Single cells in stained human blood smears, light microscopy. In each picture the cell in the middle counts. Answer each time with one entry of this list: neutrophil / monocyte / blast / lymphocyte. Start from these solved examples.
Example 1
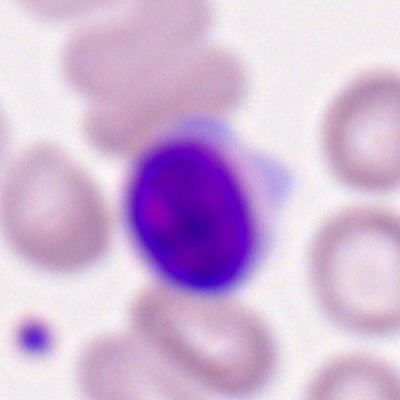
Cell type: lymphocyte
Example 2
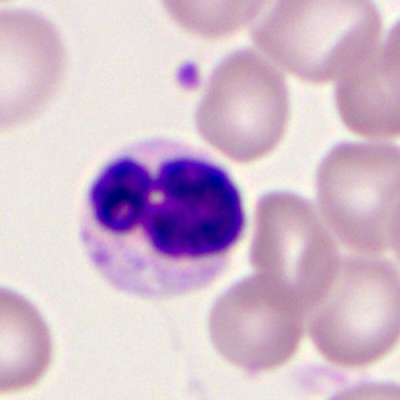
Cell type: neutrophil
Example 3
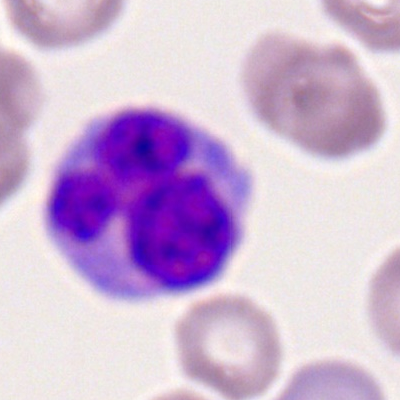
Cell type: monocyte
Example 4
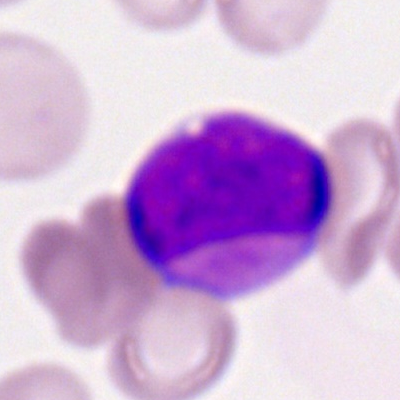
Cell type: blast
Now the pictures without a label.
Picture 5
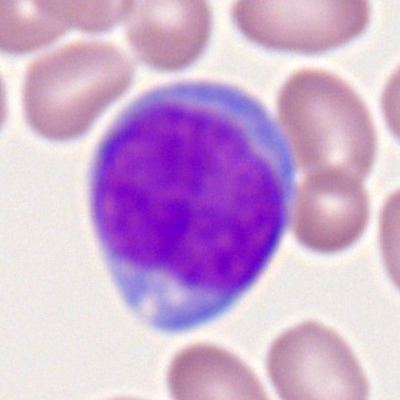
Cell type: blast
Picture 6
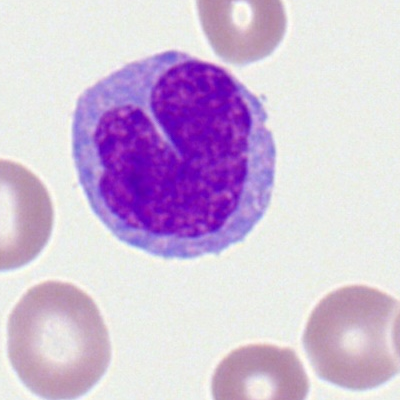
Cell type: monocyte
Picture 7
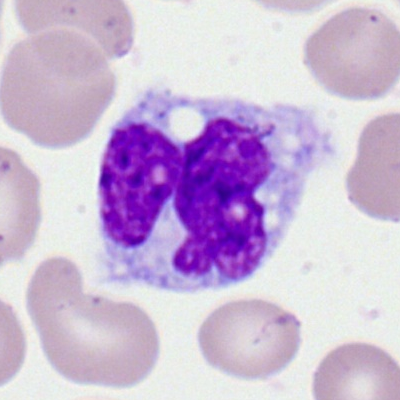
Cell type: monocyte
